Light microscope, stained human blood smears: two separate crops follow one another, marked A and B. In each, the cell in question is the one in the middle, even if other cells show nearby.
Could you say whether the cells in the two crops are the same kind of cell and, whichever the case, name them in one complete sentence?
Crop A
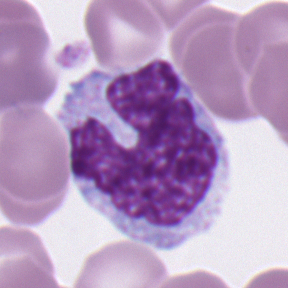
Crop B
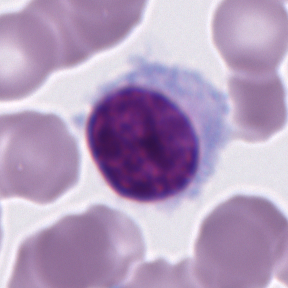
No, the cell centred in crop B is a hairy cell; crop A centres on a monocyte.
